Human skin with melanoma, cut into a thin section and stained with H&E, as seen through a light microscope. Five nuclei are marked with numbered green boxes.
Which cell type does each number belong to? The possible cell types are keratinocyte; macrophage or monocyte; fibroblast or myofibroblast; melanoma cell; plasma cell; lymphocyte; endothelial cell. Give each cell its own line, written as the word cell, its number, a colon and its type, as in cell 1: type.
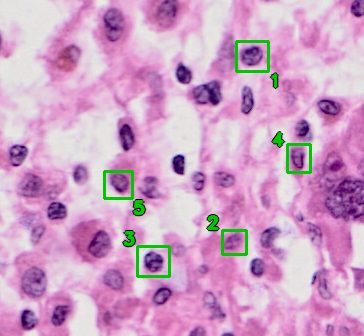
cell 1: lymphocyte
cell 2: macrophage or monocyte
cell 3: lymphocyte
cell 4: macrophage or monocyte
cell 5: macrophage or monocyte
